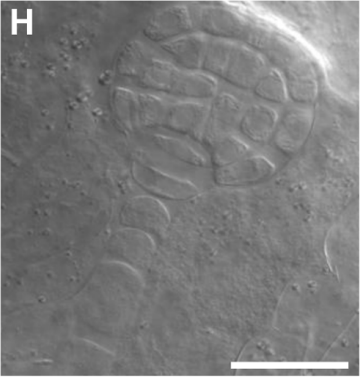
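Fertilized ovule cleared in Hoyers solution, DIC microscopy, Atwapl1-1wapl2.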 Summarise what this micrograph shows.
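Globular-stage plant embryo with a large rounded embryo proper of many cells and a faint suspensor below. Cells within the embryo proper are irregular in size and shape and lack a regular layered arrangement.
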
